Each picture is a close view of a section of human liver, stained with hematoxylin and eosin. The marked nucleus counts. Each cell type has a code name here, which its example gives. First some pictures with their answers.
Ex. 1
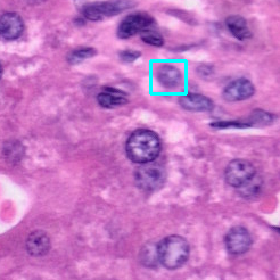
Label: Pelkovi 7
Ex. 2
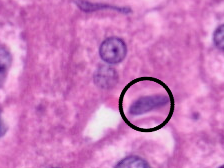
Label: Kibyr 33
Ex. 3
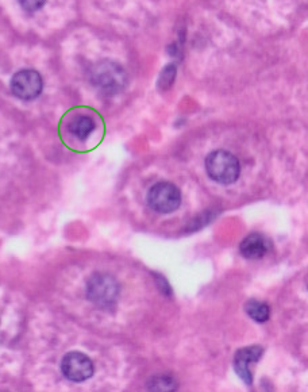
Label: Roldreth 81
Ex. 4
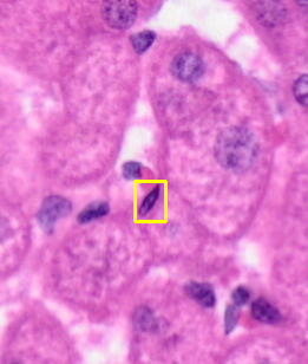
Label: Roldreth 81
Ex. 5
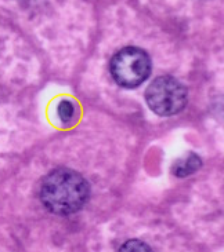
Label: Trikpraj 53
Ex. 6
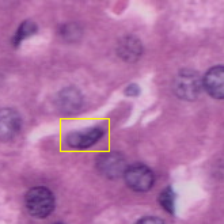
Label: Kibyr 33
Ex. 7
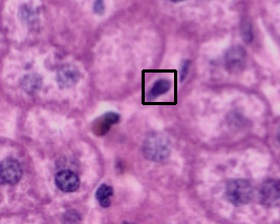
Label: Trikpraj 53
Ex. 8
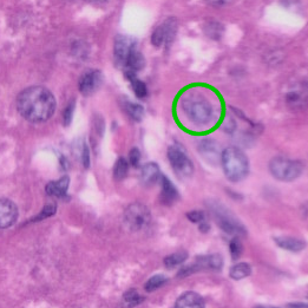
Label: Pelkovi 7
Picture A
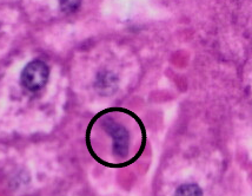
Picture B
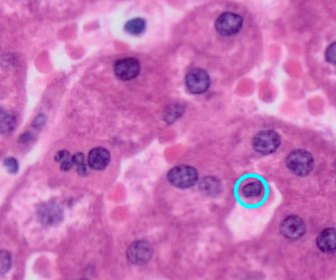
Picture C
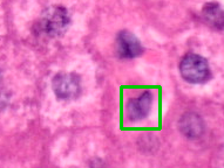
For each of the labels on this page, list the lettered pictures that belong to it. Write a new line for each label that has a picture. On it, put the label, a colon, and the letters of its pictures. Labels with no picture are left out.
Kibyr 33: A, B, C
